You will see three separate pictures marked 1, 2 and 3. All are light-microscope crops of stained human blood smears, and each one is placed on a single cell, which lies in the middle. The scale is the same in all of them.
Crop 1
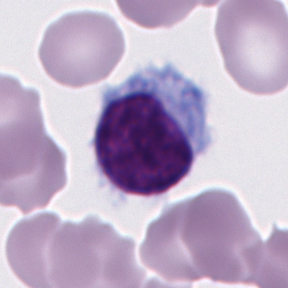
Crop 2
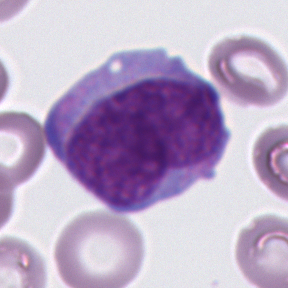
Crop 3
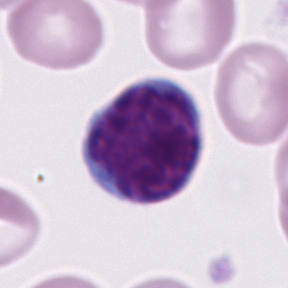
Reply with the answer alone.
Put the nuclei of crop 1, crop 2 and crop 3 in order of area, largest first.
2, 3, 1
